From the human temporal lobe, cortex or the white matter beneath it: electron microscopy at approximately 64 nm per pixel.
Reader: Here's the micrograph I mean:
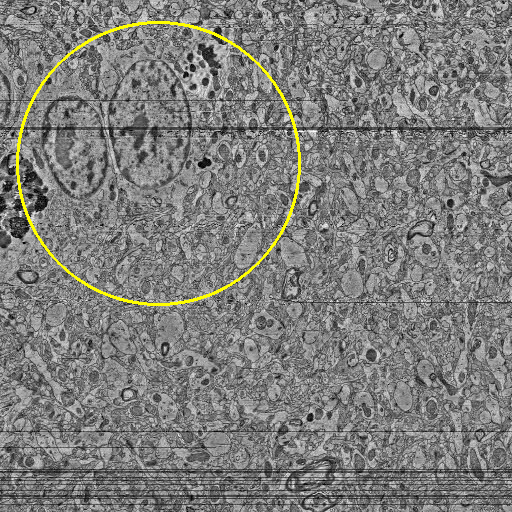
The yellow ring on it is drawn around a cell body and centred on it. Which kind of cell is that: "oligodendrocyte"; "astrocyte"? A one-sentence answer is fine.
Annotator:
The ring is centred on an astrocyte.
